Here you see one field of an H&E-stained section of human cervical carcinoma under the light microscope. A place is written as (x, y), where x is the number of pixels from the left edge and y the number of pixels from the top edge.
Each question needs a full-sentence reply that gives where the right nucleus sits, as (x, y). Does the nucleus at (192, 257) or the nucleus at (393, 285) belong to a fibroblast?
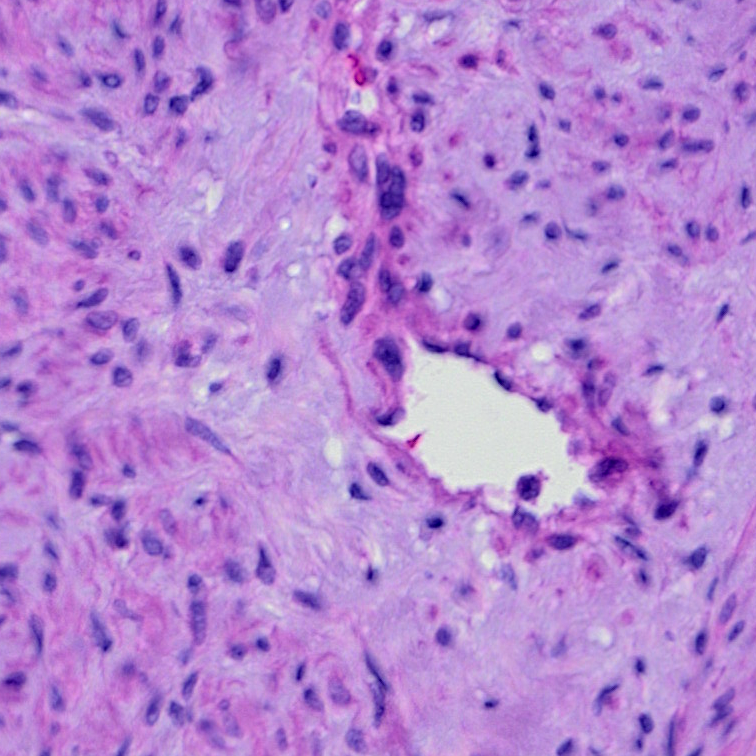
Assigned to a fibroblast is the nucleus located at (192, 257).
